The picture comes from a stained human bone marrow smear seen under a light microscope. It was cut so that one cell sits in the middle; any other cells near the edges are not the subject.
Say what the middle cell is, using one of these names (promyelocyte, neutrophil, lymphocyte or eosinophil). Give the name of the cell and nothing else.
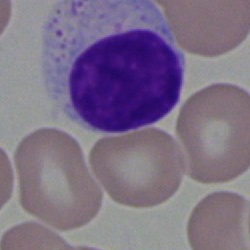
lymphocyte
